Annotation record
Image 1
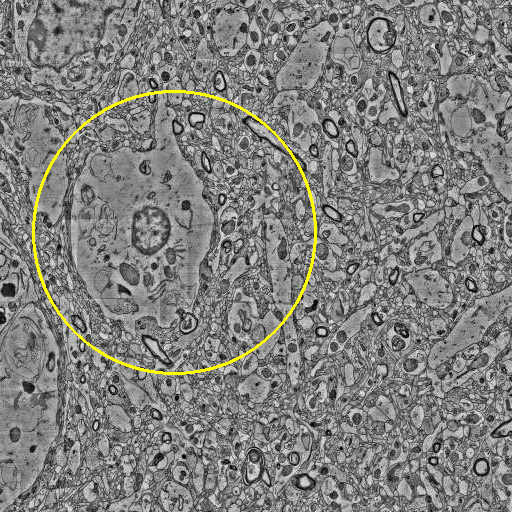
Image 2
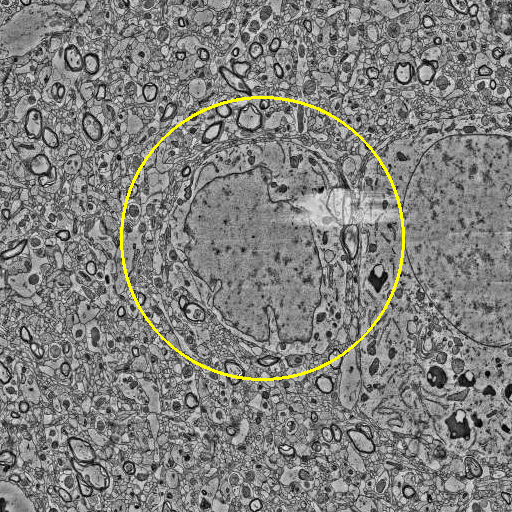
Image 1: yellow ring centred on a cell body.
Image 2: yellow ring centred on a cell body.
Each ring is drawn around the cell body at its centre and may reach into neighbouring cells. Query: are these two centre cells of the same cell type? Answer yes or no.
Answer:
no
